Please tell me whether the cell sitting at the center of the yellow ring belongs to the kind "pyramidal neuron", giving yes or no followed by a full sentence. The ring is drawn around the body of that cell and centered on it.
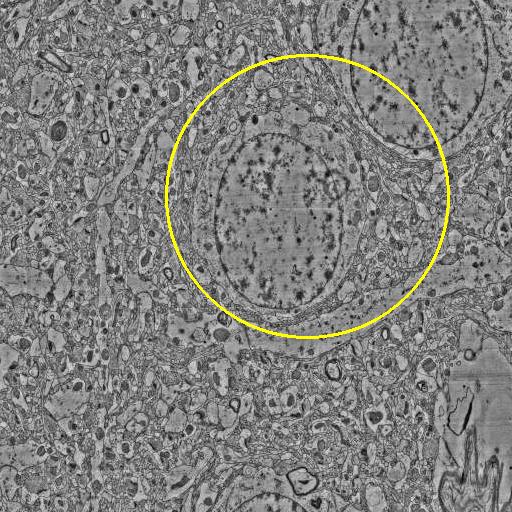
Yes, the cell at the center of the ring in the picture is of that kind.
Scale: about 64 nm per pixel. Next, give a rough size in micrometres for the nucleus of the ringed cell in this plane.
In this plane, the nucleus of the cell at the centre of the ring measures about 11 by 8 micrometres.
